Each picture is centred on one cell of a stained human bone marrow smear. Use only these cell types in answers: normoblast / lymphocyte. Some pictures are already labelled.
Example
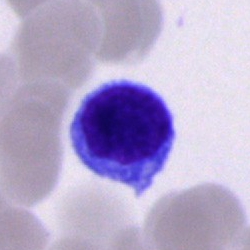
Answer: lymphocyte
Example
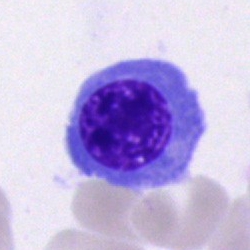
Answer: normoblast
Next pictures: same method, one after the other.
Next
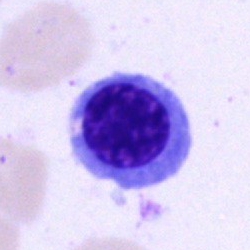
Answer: normoblast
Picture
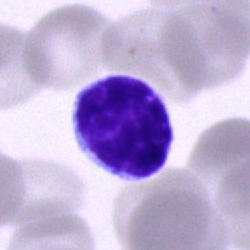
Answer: lymphocyte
